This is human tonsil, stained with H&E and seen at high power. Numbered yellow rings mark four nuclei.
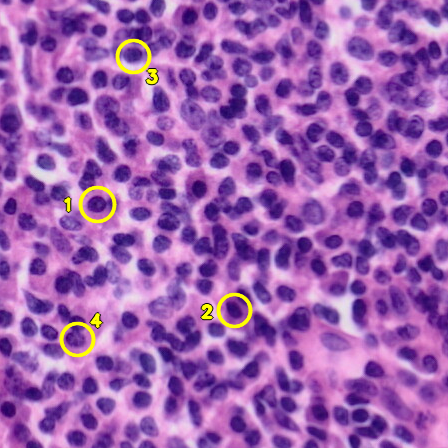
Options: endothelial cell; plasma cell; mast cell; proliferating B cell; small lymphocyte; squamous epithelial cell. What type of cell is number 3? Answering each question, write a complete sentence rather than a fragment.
The cell to which the number 3 is assigned is a small lymphocyte.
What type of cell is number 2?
In this section, the cell numbered 2 is a plasma cell.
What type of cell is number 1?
Cell 1 should be recorded as a plasma cell.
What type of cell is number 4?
Of the numbered cells, the one labelled 4 is a plasma cell.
